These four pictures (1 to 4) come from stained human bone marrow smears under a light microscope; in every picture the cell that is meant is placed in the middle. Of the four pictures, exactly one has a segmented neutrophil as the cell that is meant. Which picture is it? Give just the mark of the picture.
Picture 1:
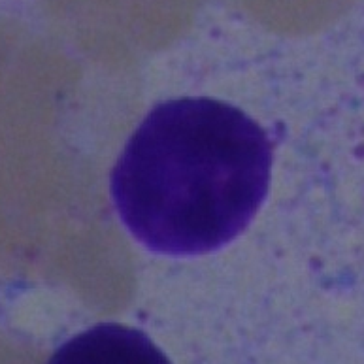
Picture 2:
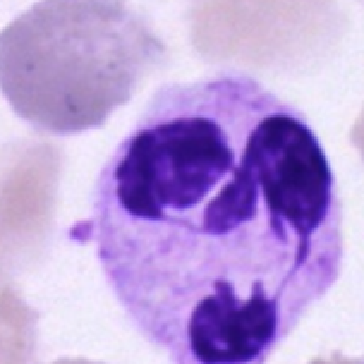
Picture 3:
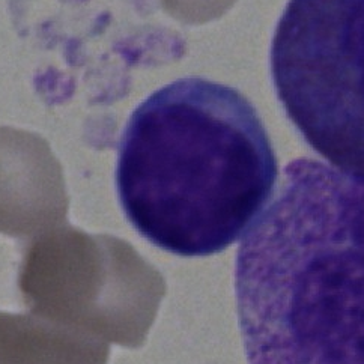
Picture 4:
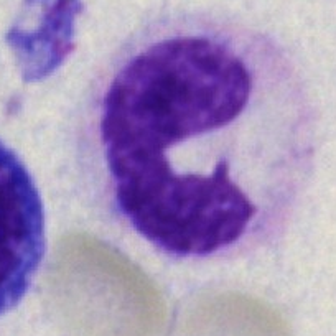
2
